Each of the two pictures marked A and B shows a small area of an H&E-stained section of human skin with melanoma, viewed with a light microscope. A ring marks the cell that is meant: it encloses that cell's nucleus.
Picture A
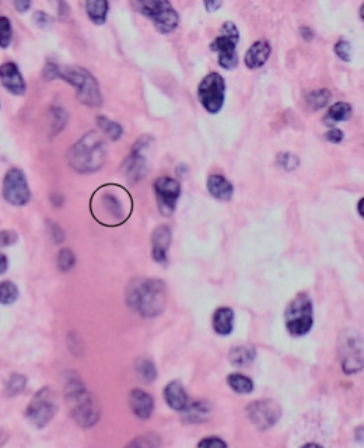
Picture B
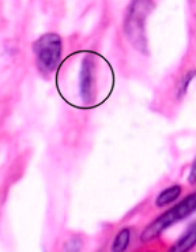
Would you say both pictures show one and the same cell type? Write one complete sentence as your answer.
No. Picture A shows an endothelial cell, but picture B shows a “fibroblast or myofibroblast”.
